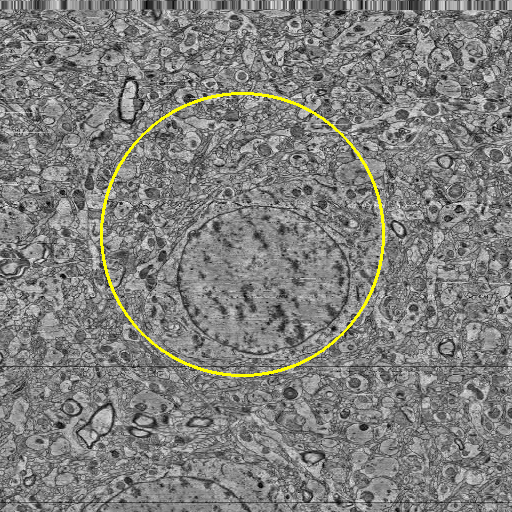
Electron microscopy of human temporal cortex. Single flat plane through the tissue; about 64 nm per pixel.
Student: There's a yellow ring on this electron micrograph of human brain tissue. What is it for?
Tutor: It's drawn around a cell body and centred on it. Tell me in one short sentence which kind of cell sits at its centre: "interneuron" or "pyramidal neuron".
The cell at the centre of the ring is a pyramidal neuron.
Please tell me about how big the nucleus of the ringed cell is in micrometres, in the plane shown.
Roughly 10 micrometres across for the nucleus, in this plane.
